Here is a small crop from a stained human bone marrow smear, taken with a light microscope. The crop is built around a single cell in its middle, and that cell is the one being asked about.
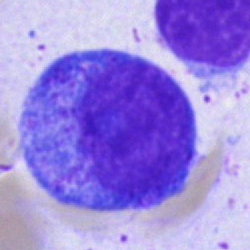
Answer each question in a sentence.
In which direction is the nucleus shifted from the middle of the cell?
Seen from the middle of the cell, the nucleus lies toward the right.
